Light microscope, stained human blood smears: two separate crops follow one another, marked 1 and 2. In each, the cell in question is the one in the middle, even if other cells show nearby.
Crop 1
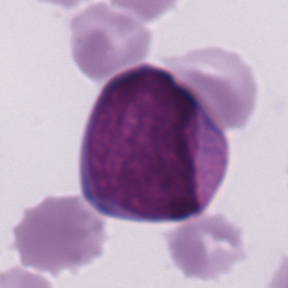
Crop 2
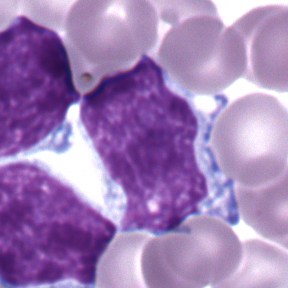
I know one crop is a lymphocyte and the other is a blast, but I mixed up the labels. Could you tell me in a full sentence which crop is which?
Crop 1 depicts a blast, and a lymphocyte is depicted in crop 2.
